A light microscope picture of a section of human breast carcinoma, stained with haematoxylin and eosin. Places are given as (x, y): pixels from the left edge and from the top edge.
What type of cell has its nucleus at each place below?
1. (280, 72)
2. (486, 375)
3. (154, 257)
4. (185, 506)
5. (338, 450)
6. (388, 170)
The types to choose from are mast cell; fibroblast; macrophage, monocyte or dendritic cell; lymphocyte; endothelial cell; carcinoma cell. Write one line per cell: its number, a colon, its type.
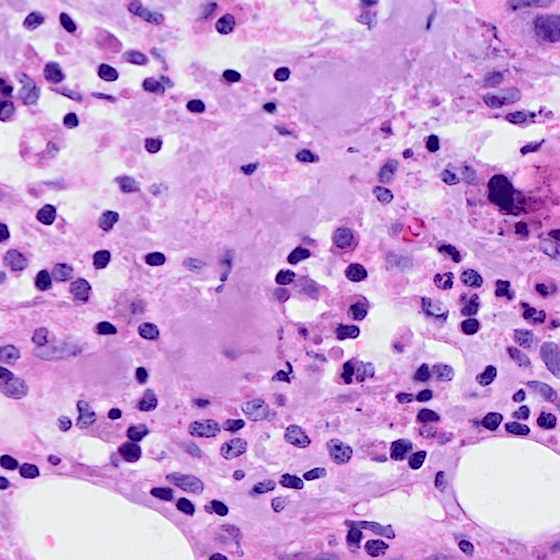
1: lymphocyte
2: lymphocyte
3: lymphocyte
4: lymphocyte
5: mast cell
6: mast cell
